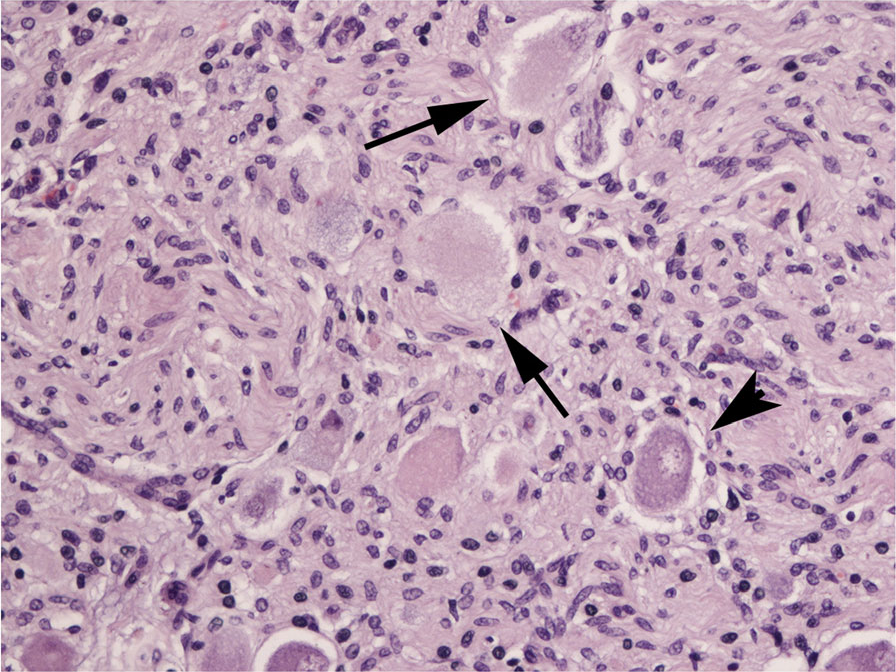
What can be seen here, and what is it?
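Section of a ganglion stained pink and purple, with scattered large round ganglion cells set in a dense bed of small satellite and spindle cells. Several large cells have pale, evenly pink, glassy cytoplasm without granular purple material and without a visible nucleus, and often lie within a clear retraction space. Between the large cells, many small oval to elongated dark nuclei are crowded in a pale pink fibrillar background, some in streaming, whorled arrangements. A few red blood cells are seen in small vessels.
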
